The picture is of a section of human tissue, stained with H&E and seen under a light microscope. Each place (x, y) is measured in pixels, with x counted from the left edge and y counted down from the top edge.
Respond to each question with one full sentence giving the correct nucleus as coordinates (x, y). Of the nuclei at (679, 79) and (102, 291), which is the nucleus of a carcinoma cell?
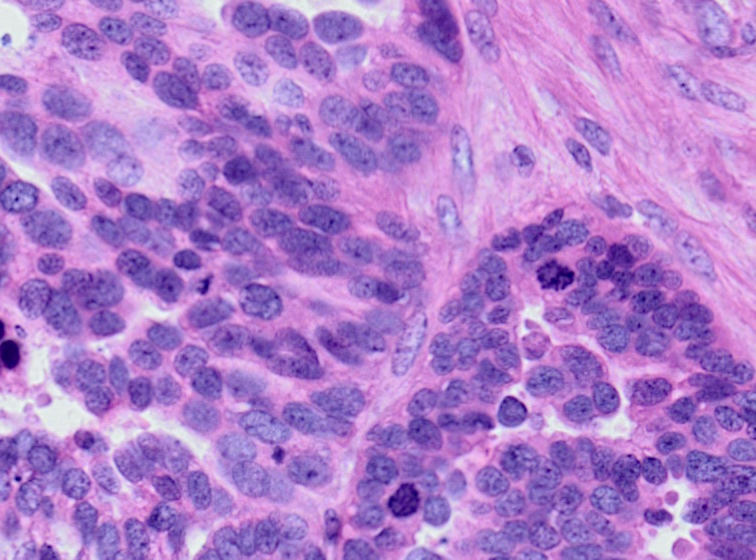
At (102, 291) lies the nucleus that belongs to a carcinoma cell.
